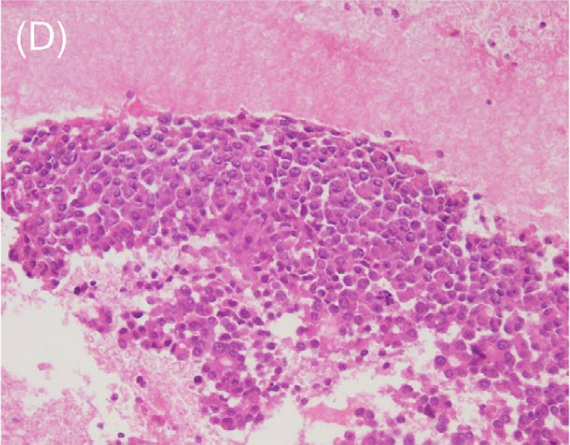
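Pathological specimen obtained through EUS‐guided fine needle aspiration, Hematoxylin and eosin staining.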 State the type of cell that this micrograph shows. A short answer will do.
tumor cells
